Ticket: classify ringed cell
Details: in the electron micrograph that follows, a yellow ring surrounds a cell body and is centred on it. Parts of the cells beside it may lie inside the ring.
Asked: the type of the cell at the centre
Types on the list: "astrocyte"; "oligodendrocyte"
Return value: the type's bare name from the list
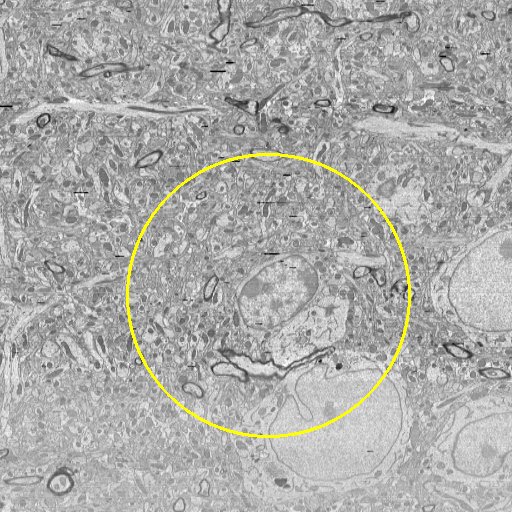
oligodendrocyte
